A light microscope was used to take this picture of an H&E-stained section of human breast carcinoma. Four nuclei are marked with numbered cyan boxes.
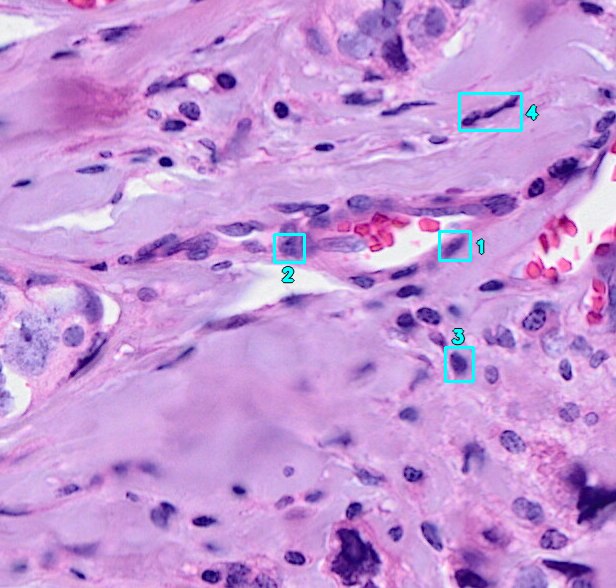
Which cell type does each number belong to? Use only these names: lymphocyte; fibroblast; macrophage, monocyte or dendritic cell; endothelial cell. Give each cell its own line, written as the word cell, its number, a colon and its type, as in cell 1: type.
cell 1: endothelial cell
cell 2: endothelial cell
cell 3: lymphocyte
cell 4: fibroblast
